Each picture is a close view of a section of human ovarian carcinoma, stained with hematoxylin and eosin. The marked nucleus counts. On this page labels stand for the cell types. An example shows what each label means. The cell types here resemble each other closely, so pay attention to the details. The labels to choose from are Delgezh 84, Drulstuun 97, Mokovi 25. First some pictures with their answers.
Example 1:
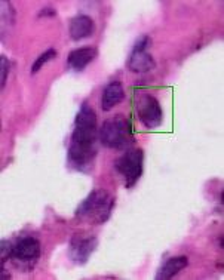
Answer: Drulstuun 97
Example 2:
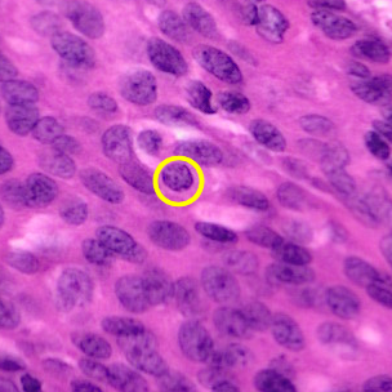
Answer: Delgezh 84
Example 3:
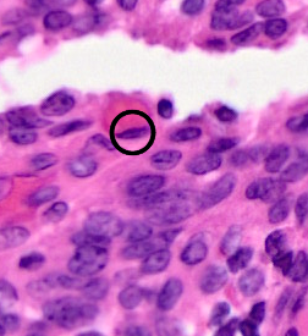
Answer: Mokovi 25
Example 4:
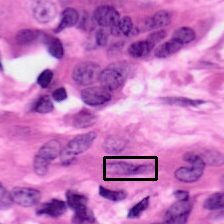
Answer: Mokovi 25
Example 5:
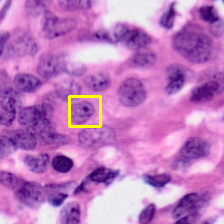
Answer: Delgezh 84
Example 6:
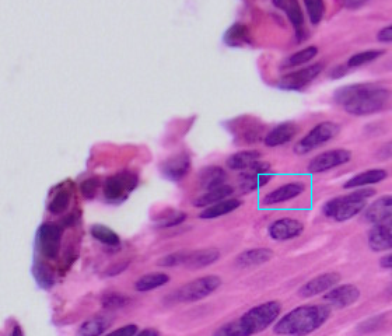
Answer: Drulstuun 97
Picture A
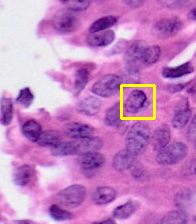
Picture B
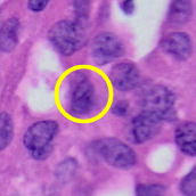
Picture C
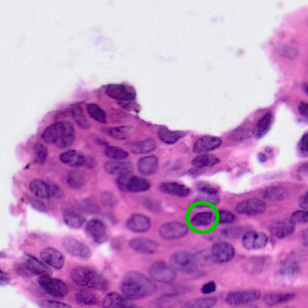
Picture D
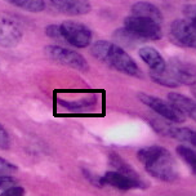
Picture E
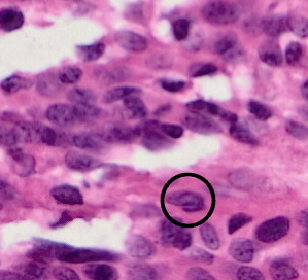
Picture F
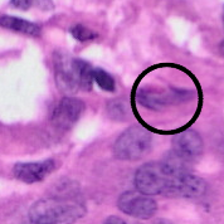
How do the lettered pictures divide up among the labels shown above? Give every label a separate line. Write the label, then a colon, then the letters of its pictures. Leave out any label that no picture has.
Delgezh 84: A
Drulstuun 97: B, C
Mokovi 25: D, E, F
